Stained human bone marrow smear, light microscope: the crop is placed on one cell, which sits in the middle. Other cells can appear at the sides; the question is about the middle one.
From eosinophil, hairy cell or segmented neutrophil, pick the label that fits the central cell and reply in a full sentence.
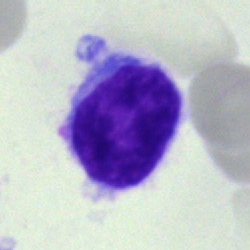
Located at the centre of the crop is a hairy cell.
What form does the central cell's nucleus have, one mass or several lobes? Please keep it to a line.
Worth pointing out that its nucleus is one compact mass, round, oval or reniform.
